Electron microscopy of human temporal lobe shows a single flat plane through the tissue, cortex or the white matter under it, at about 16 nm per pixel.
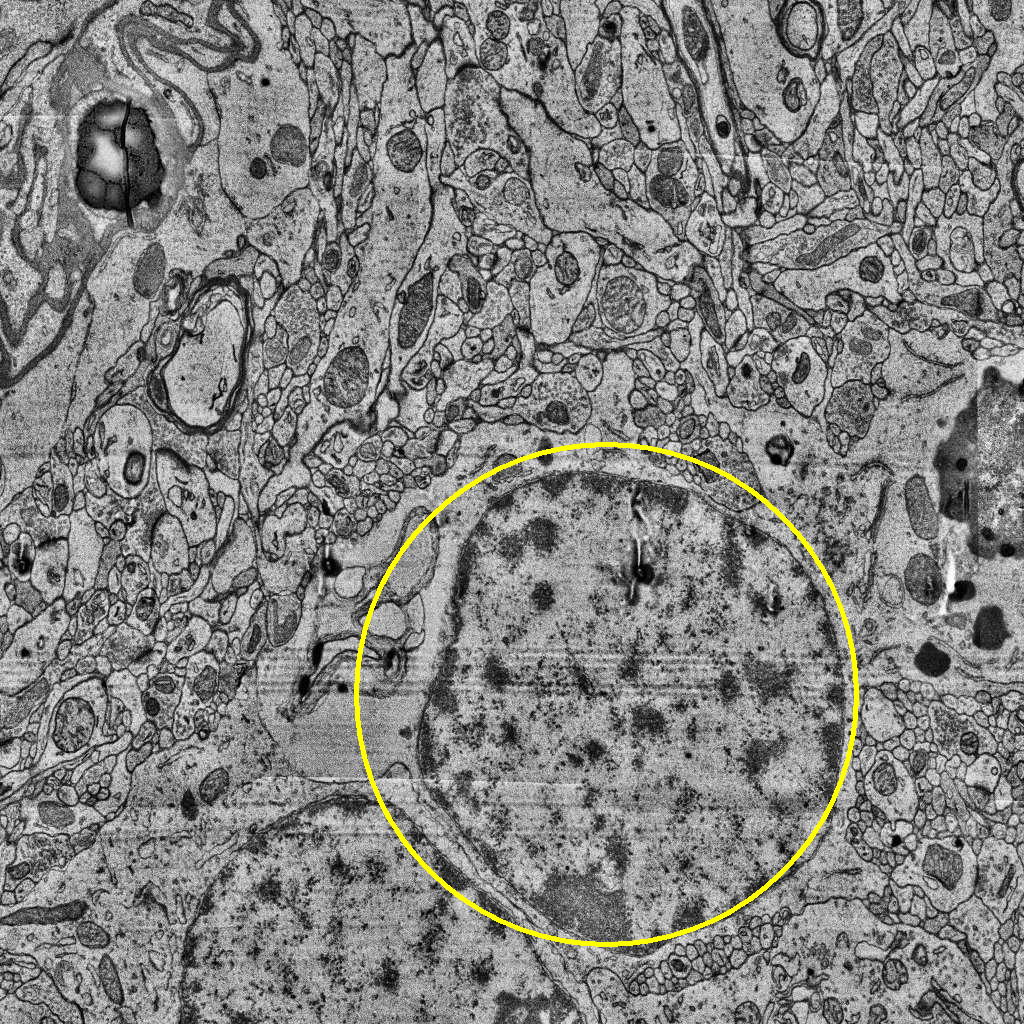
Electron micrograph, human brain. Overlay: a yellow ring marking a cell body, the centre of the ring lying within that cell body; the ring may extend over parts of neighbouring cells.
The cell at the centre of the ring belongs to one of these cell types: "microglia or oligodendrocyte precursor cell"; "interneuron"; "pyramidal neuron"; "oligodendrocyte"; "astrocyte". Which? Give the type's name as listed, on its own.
astrocyte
